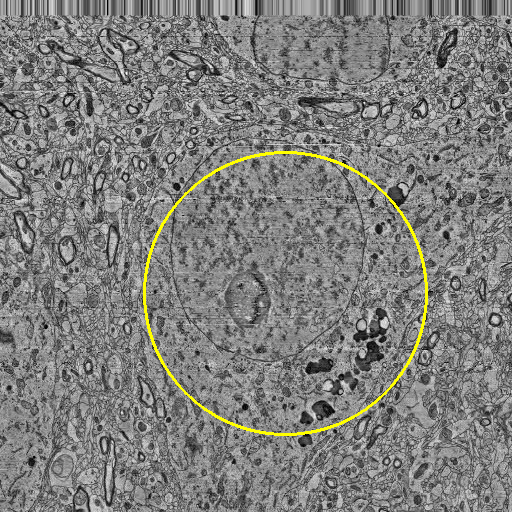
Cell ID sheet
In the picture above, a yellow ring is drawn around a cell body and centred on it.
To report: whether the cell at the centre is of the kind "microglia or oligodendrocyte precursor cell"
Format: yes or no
no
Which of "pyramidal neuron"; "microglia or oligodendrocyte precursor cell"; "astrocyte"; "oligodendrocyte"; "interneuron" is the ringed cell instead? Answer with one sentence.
At the centre of the ring sits a pyramidal neuron.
